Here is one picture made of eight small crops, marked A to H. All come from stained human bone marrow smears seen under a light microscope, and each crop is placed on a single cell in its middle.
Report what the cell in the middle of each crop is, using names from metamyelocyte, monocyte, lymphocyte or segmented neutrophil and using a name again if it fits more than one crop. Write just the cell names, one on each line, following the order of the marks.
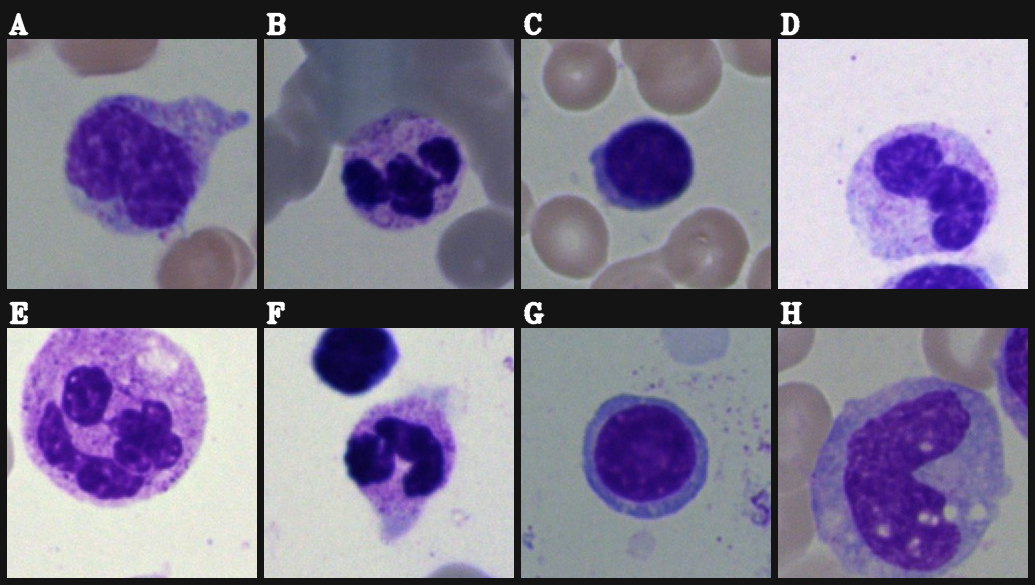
monocyte
segmented neutrophil
lymphocyte
segmented neutrophil
segmented neutrophil
segmented neutrophil
lymphocyte
monocyte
